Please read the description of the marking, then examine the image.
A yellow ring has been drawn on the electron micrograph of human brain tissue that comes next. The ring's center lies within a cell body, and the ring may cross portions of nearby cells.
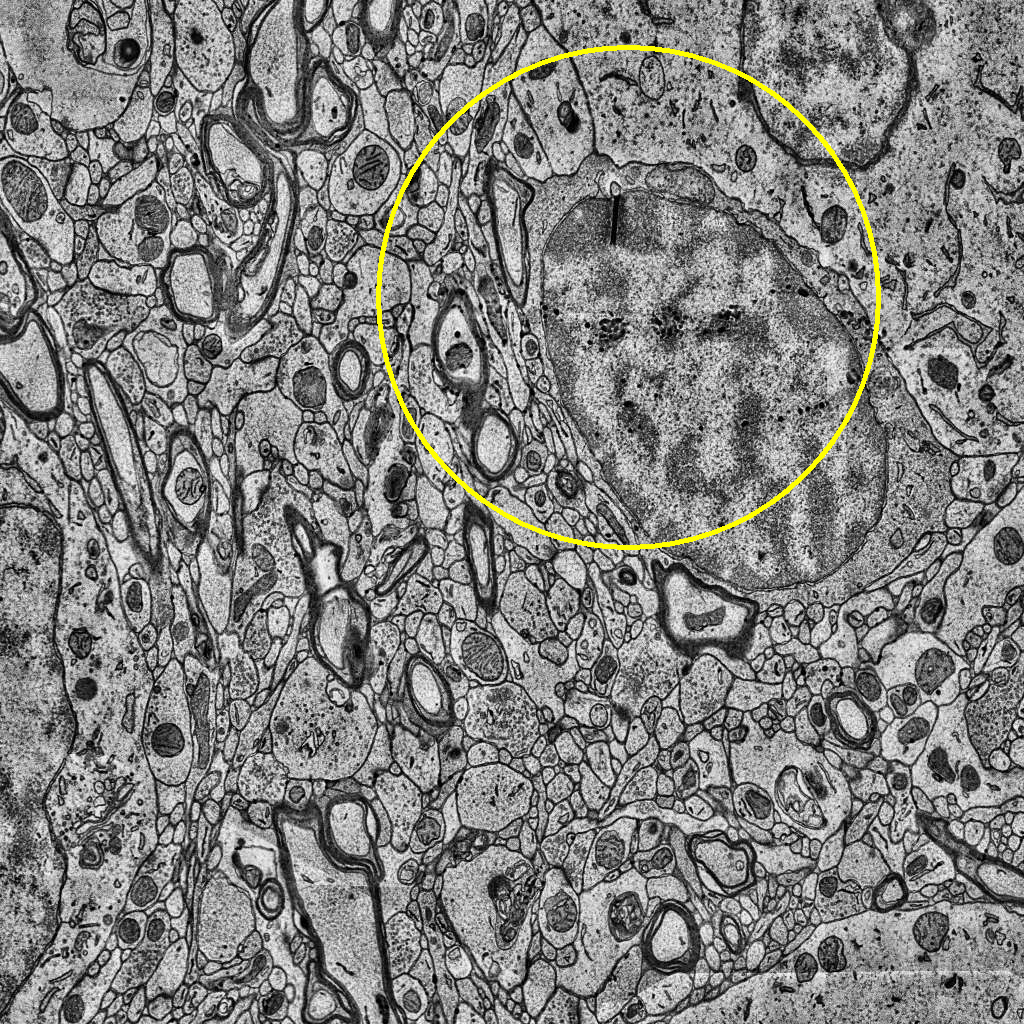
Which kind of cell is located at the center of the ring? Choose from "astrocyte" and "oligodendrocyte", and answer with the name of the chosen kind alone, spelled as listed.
oligodendrocyte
